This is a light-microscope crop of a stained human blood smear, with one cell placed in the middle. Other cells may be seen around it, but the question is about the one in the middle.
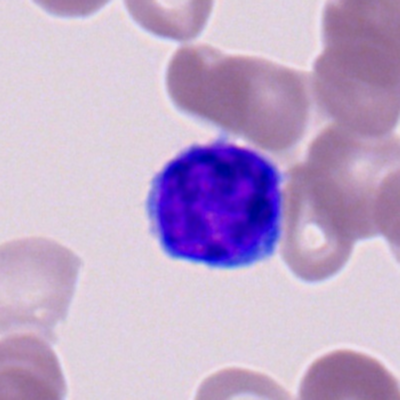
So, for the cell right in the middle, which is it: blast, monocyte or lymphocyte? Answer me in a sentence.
The identification for the central cell is a lymphocyte.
